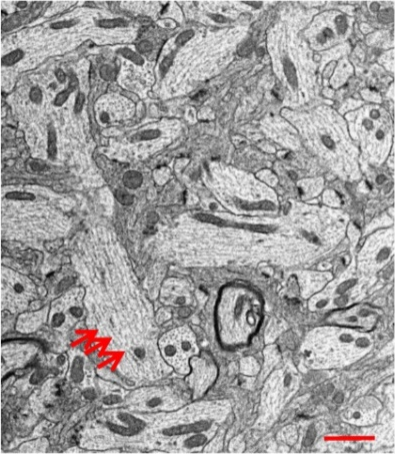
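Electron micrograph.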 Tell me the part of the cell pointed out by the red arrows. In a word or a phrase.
Microtubules.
